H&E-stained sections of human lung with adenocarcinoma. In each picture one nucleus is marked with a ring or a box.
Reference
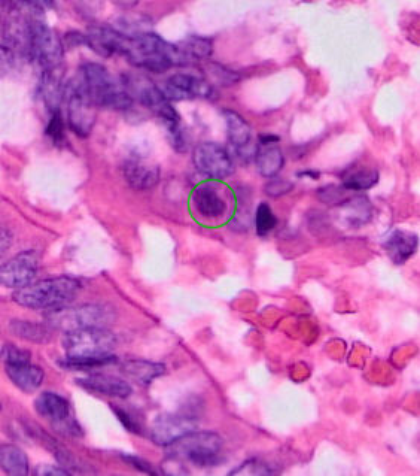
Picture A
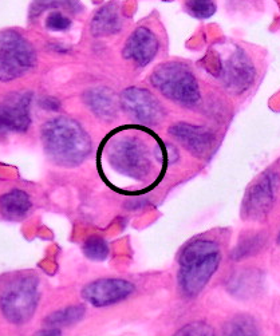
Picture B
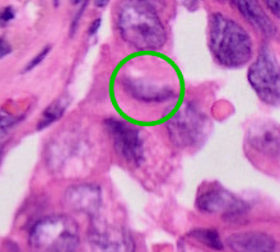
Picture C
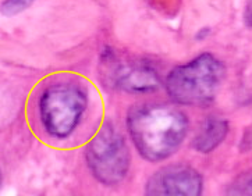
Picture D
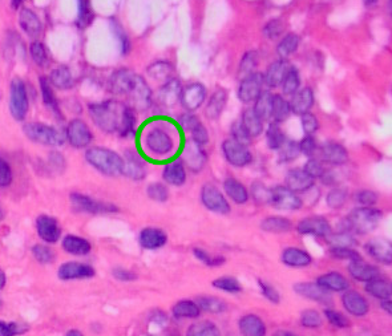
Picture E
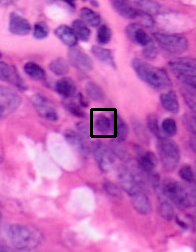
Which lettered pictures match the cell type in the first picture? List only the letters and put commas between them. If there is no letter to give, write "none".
D, E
